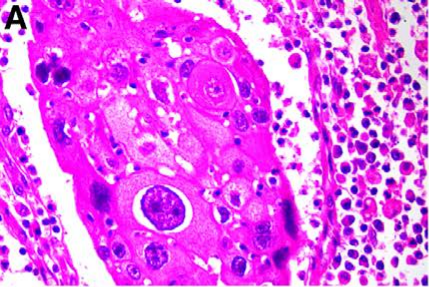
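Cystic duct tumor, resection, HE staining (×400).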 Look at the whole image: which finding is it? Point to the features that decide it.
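Incomplete keratinization. Dense pink glassy cytoplasm in the tumor cells. A small concentric pink whorl with a retained nucleus inside the nest.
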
